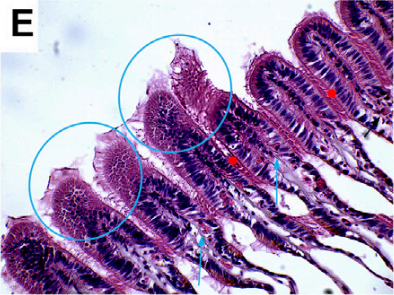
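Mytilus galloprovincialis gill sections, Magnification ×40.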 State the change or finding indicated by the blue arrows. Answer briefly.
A: hemocyte infiltrations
